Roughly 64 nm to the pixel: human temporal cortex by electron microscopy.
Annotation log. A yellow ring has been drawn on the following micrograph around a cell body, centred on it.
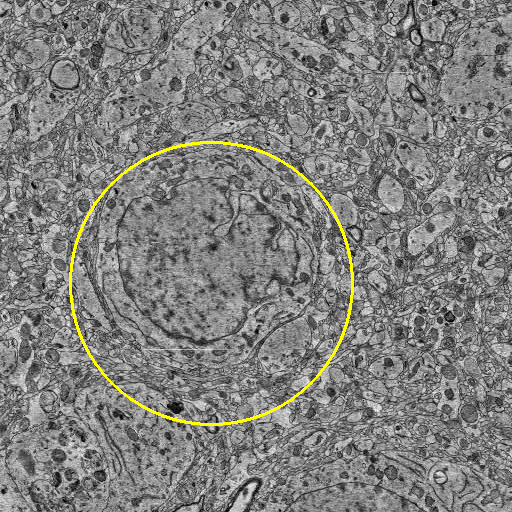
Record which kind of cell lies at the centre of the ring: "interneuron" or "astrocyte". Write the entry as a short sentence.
The cell the ring is centred on is an interneuron.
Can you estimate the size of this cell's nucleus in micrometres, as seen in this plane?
The ringed cell's nucleus is about 11 micrometres across in this plane.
